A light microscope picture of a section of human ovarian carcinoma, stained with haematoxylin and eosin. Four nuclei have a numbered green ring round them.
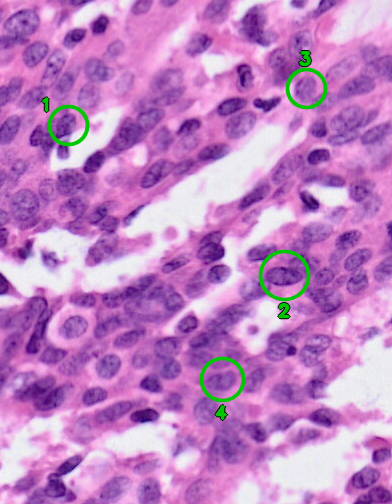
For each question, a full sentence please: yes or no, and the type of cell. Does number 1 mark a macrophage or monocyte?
No, the cell tagged 1 is a carcinoma cell, and not a macrophage or monocyte.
